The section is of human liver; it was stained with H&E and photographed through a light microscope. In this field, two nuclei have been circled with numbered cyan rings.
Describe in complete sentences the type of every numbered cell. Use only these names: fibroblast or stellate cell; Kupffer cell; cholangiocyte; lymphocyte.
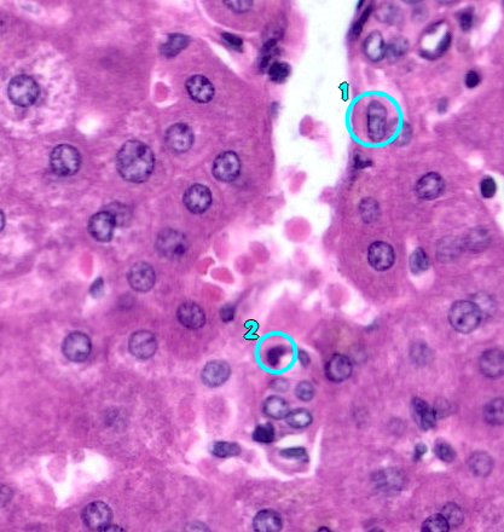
Cell 1 is a cholangiocyte. Cell 2 is a fibroblast or stellate cell.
